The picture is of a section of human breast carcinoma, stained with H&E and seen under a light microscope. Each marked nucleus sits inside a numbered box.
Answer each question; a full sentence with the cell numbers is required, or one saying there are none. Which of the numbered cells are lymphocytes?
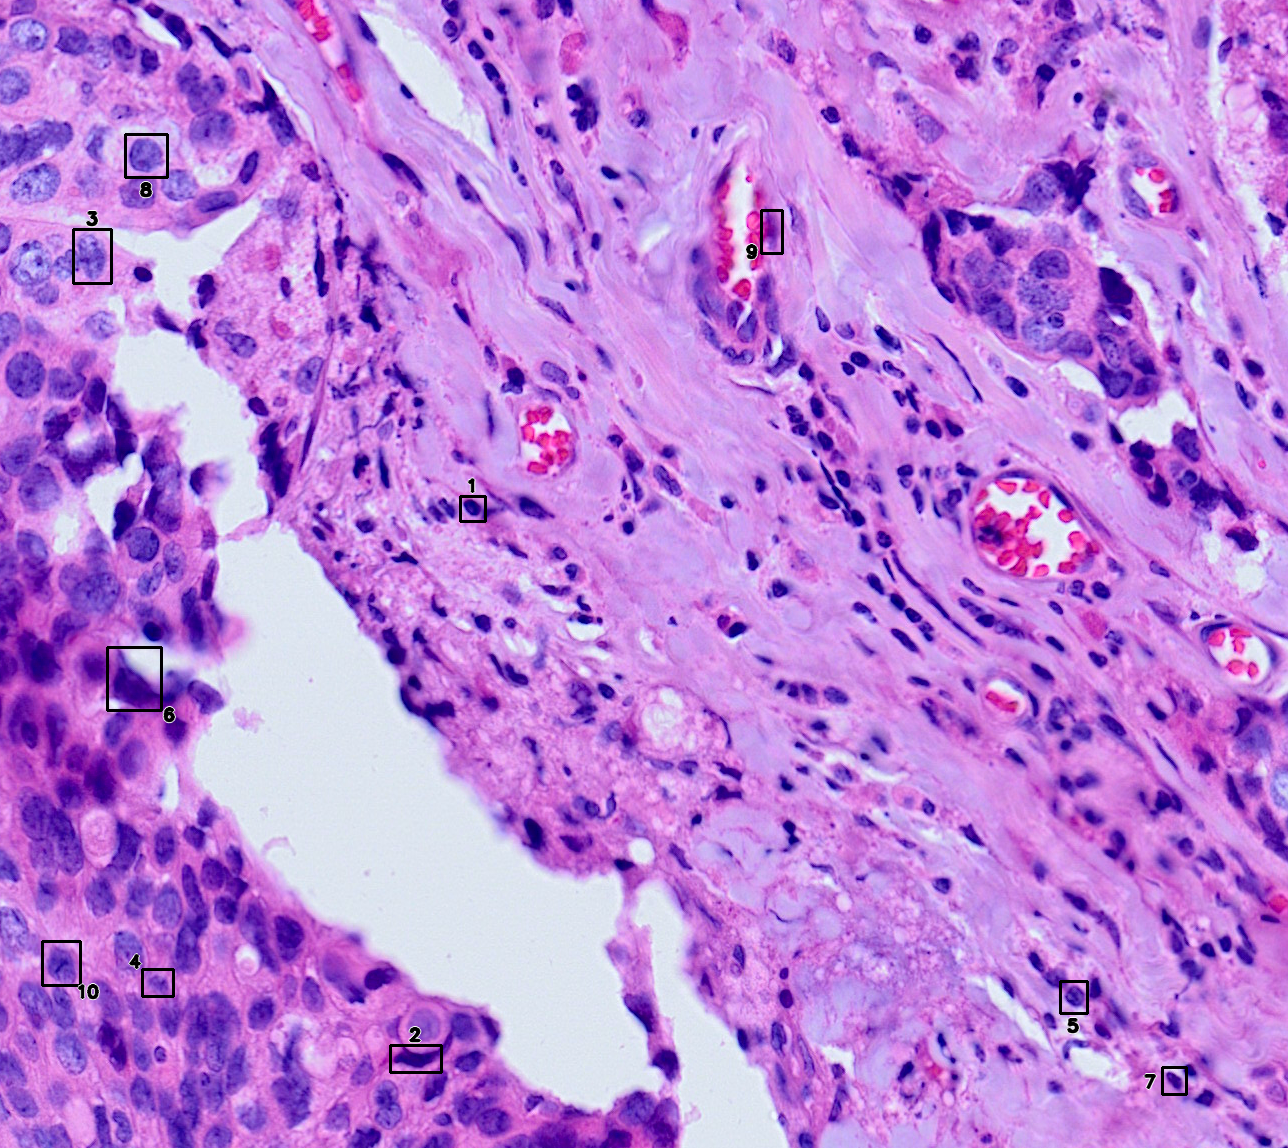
In this section, the cells numbered 1, 5 and 7 are lymphocytes.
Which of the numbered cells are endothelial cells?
Only the cell with the number 9 is an endothelial cell.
